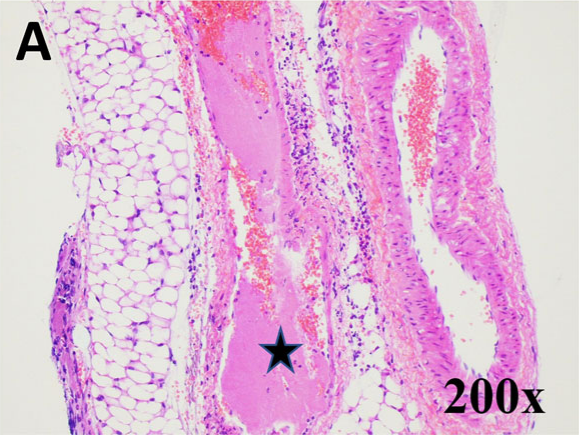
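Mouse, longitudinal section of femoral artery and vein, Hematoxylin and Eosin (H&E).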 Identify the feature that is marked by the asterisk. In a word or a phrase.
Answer: Fibrin thrombus.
